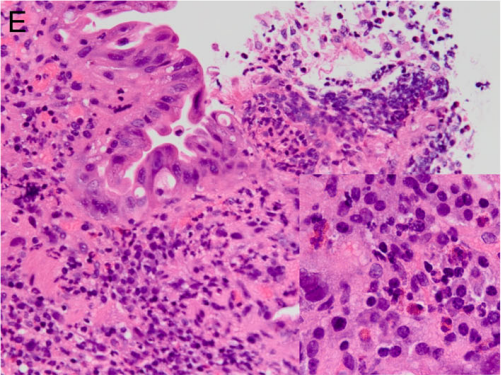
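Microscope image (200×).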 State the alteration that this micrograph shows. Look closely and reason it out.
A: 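Loose cells and debris lie free at the upper right beyond the epithelium.
Answer: surface epithelium desquamation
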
